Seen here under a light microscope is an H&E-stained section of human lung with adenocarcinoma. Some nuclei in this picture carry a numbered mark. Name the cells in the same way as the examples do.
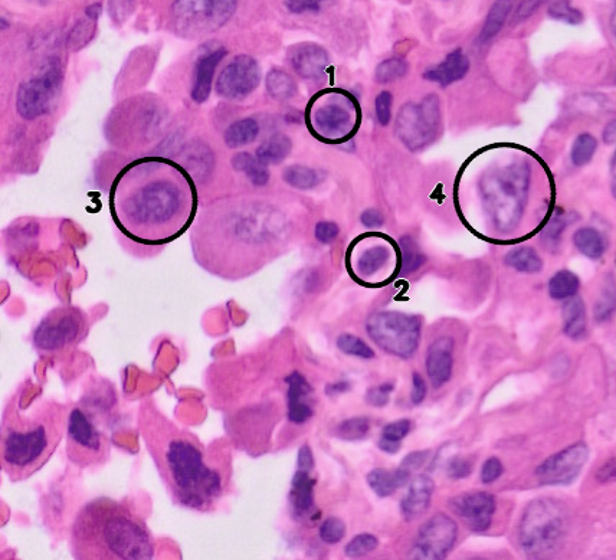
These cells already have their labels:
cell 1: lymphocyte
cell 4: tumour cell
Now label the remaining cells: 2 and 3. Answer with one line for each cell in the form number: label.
2: lymphocyte
3: tumour cell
